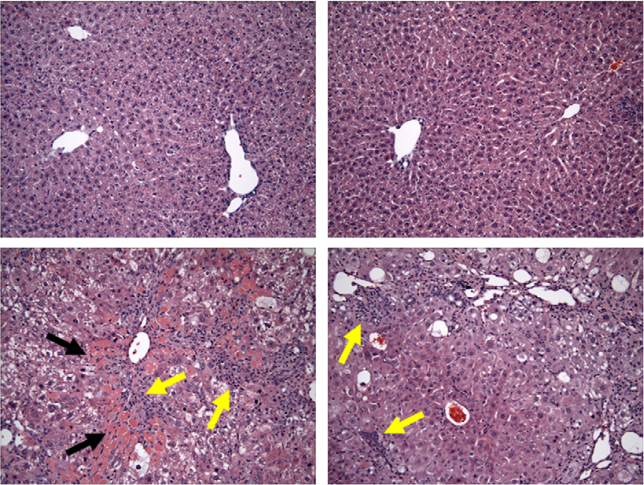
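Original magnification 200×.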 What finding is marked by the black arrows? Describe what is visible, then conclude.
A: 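The black arrows point to a zone of hepatocytes with intensely pink cytoplasm. Many cells in that zone lack clear nuclei, unlike the surrounding liver cells. On this evidence: necrosis.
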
